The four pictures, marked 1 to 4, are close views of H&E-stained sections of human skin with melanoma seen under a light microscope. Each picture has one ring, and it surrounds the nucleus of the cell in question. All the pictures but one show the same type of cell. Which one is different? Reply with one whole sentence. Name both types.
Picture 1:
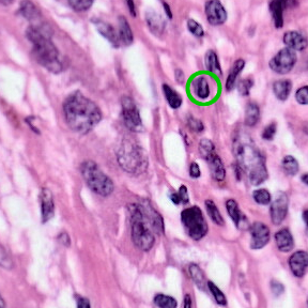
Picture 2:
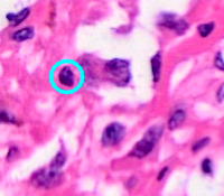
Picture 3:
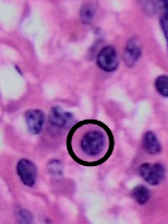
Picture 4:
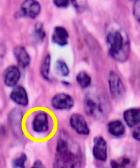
Picture 3 is the odd one out: it shows a plasma cell, while the others show lymphocytes.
